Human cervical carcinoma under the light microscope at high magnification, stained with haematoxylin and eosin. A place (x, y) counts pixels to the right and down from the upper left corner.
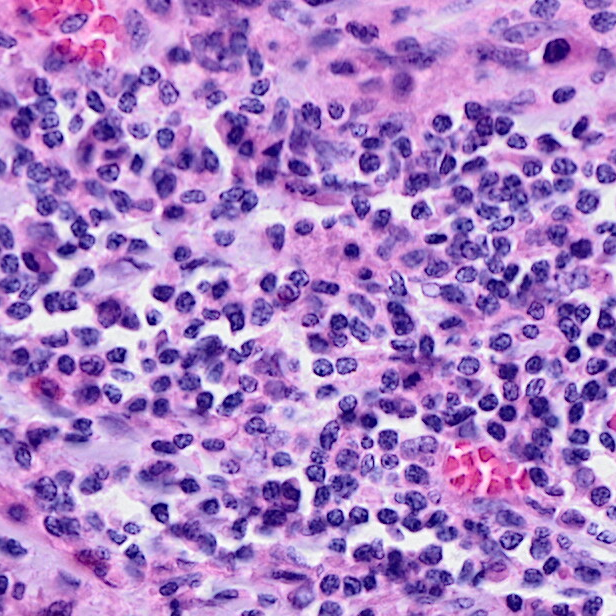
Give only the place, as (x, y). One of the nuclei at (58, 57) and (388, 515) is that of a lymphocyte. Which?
(388, 515)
